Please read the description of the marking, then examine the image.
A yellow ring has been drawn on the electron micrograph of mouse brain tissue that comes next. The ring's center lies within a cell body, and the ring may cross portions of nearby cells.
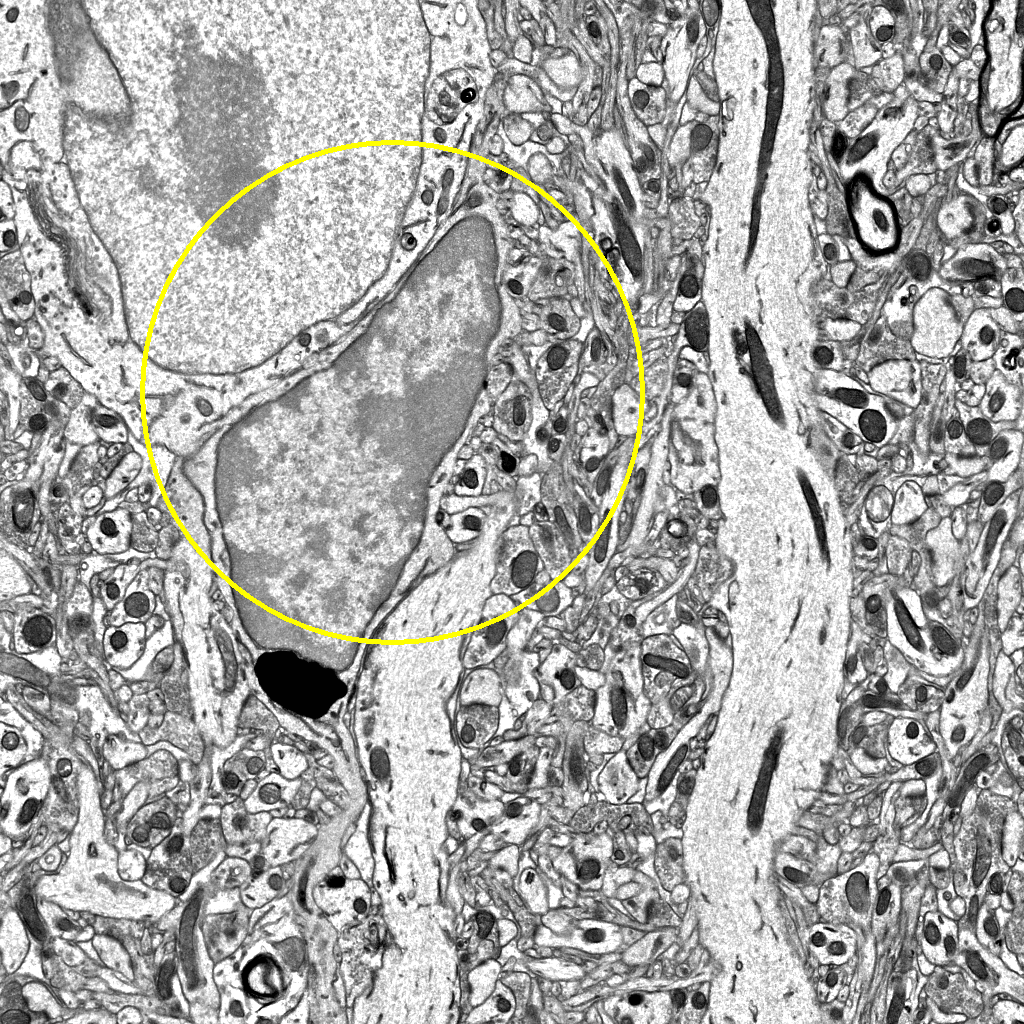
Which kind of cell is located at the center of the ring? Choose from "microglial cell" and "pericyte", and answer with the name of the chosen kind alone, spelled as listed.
microglial cell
